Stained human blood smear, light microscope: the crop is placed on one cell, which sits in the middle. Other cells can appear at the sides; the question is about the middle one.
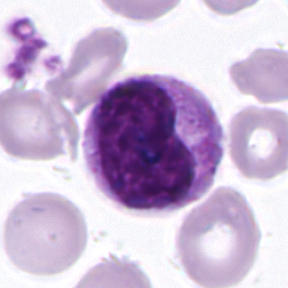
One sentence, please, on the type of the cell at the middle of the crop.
The cell under consideration, at the middle of the crop, is a metamyelocyte.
